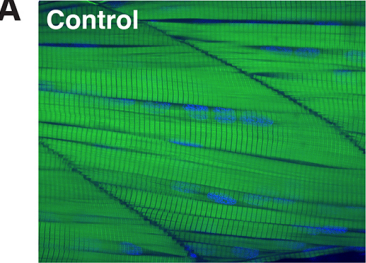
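This is skeletal muscle in which long, straight muscle fibers run in parallel bundles, each finely and evenly cross-striated in green. Elongated blue nuclei lie flattened along the fibers, and dark diagonal boundaries cut across the bundles where the fibers end.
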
